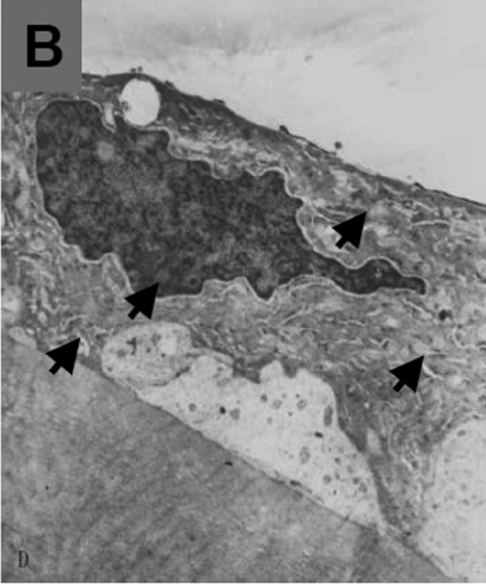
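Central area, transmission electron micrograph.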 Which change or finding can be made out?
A: Overly dense and indented nuclei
